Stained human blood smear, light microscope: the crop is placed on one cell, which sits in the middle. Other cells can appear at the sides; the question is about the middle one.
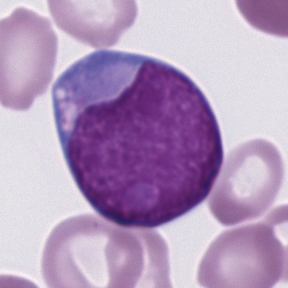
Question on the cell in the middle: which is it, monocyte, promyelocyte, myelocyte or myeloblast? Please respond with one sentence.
Here the cell in the middle is a myeloblast.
